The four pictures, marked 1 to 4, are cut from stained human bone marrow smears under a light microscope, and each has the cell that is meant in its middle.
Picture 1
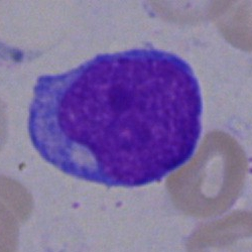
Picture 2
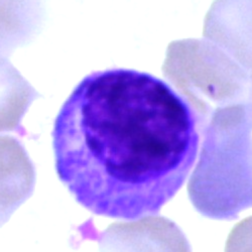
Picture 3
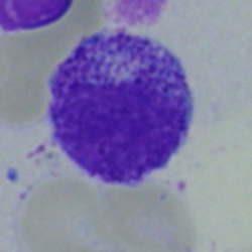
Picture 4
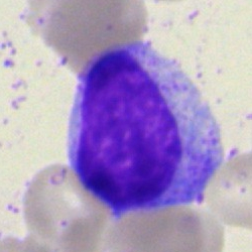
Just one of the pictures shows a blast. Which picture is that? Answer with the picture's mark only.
1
